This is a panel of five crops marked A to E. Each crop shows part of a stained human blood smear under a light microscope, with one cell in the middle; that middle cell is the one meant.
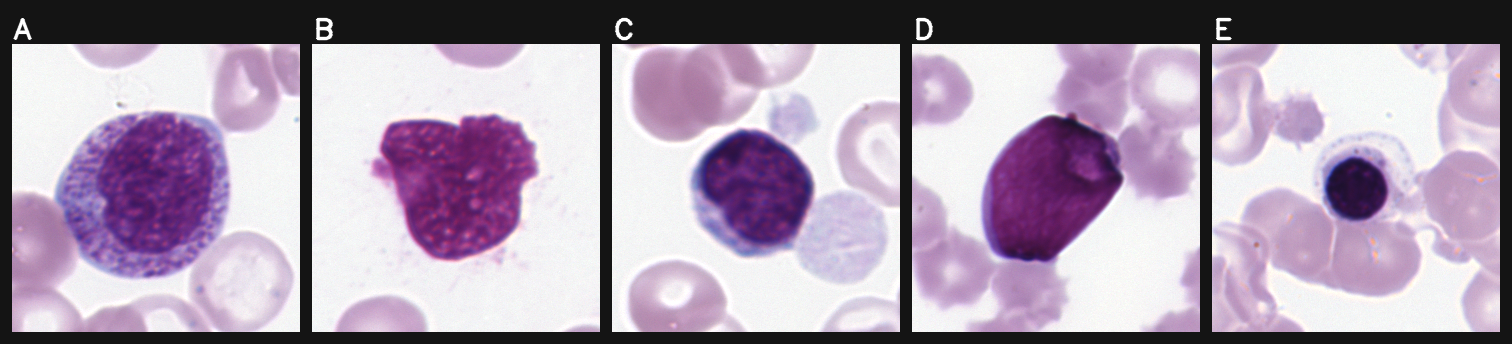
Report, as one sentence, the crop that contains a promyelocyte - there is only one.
Crop A is the one in the set with a promyelocyte at the center.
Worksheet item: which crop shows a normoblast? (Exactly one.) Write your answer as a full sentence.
The correct choice is crop E, the one showing a normoblast.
